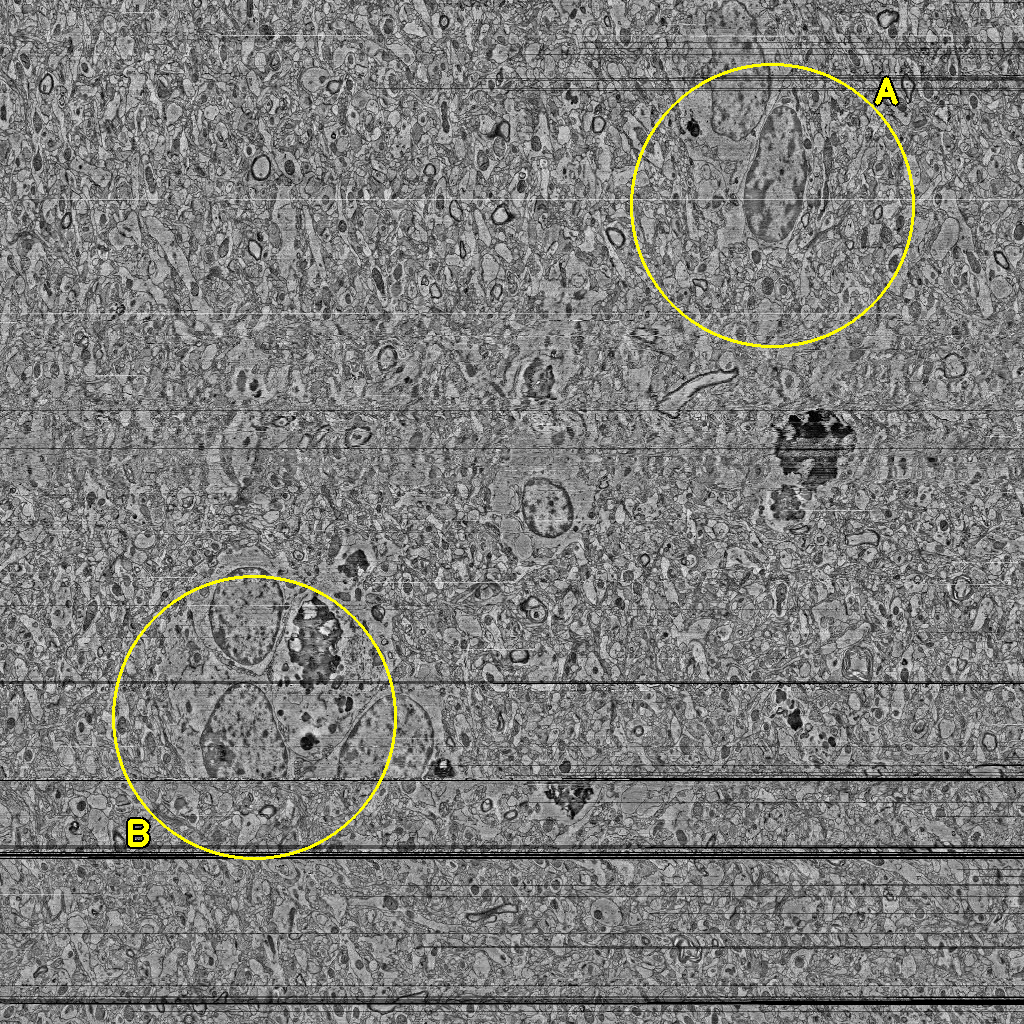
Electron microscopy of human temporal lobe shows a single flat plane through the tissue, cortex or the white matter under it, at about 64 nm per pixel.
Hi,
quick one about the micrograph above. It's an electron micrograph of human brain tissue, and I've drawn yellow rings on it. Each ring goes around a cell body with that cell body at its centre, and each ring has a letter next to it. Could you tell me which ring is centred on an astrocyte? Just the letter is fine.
B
